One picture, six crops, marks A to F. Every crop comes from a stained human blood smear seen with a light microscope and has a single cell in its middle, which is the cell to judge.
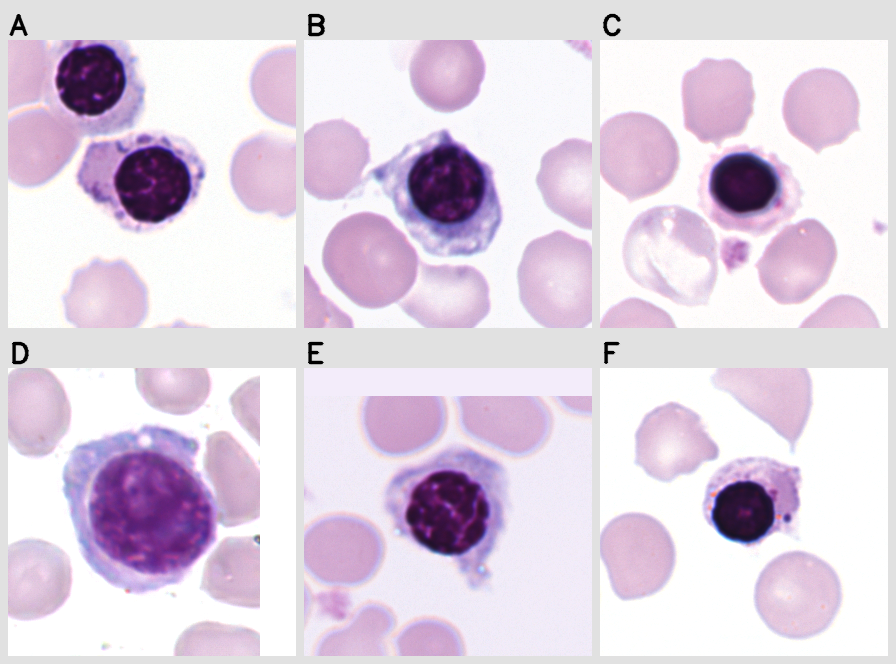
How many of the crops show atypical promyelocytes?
0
